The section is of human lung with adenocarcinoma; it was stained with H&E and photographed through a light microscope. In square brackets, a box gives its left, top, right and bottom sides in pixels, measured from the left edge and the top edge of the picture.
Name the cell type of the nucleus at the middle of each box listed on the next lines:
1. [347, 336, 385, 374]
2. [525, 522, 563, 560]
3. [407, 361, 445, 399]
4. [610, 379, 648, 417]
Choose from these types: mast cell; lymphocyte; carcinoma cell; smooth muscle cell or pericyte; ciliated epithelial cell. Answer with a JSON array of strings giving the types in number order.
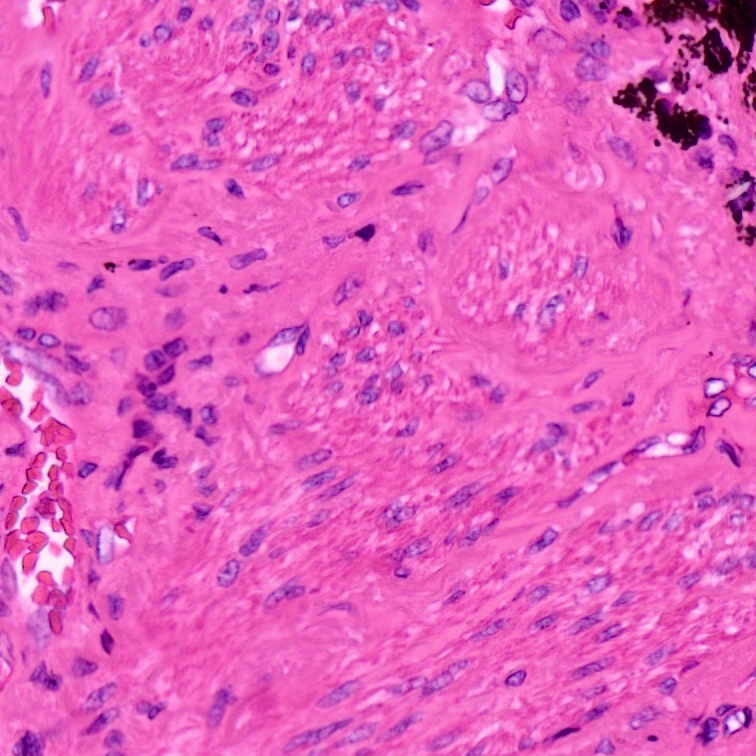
["smooth muscle cell or pericyte", "smooth muscle cell or pericyte", "smooth muscle cell or pericyte", "mast cell"]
